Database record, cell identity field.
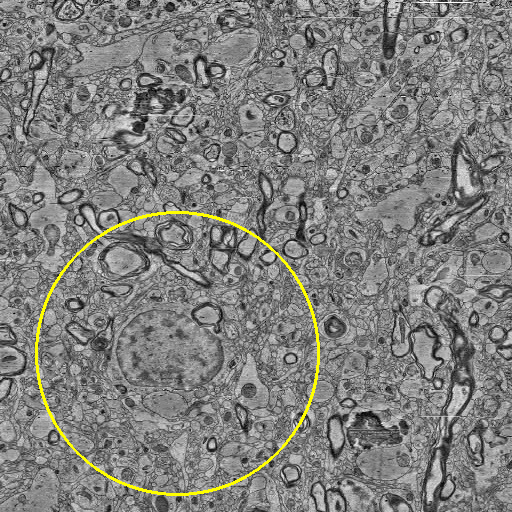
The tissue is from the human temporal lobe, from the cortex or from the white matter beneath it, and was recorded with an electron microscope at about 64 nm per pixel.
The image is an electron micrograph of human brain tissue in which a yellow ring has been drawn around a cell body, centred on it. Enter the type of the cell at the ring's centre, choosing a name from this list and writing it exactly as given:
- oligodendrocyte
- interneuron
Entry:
oligodendrocyte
